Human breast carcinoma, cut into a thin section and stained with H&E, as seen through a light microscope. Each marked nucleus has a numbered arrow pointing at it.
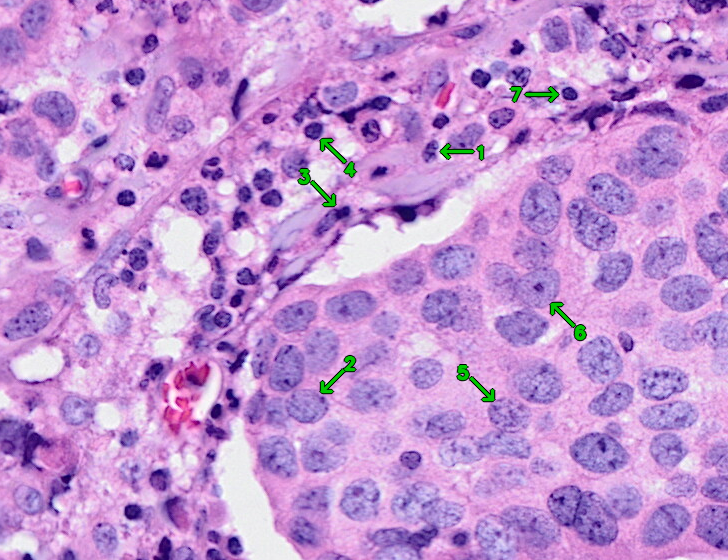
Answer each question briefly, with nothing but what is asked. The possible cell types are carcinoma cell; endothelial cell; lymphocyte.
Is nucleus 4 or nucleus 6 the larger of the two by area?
6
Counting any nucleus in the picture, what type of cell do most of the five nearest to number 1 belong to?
endothelial cell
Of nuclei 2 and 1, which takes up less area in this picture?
1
